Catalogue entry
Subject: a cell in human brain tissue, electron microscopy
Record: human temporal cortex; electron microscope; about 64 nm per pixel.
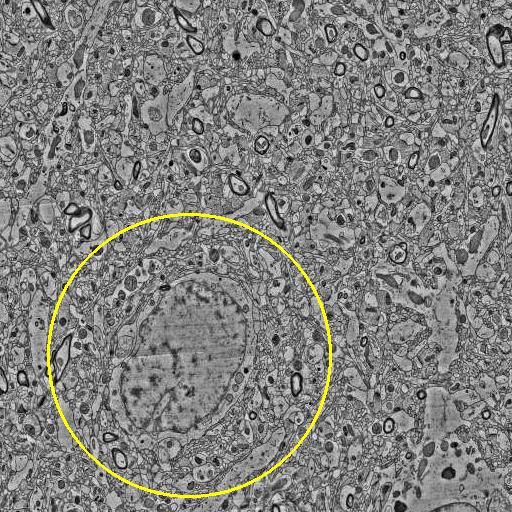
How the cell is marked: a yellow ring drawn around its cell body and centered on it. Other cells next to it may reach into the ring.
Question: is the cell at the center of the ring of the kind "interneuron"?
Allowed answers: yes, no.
yes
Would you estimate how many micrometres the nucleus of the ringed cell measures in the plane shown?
In this plane the nucleus is about 10 micrometres by 7.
